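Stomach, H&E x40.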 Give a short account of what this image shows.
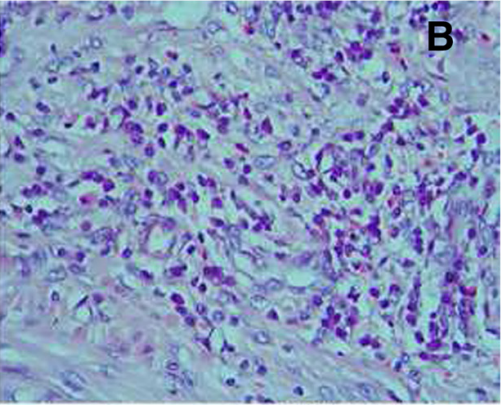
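Many cells have round, dark purple nuclei, some placed off-centre in a rim of pinkish cytoplasm, while others are small with scant cytoplasm. Scattered elongated spindle-shaped nuclei and small vessels lie among the inflammatory cells in the pale background.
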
